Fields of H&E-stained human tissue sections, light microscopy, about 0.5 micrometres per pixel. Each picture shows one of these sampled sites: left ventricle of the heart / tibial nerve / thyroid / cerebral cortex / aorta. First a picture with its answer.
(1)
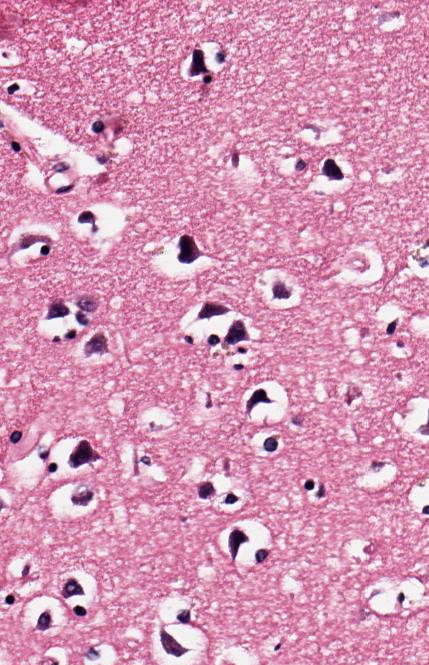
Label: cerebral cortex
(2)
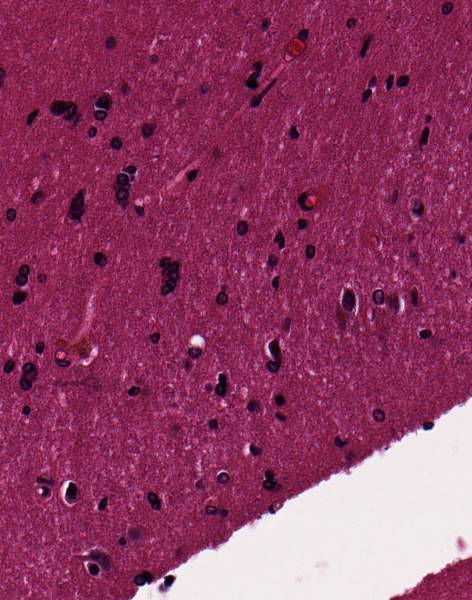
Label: cerebral cortex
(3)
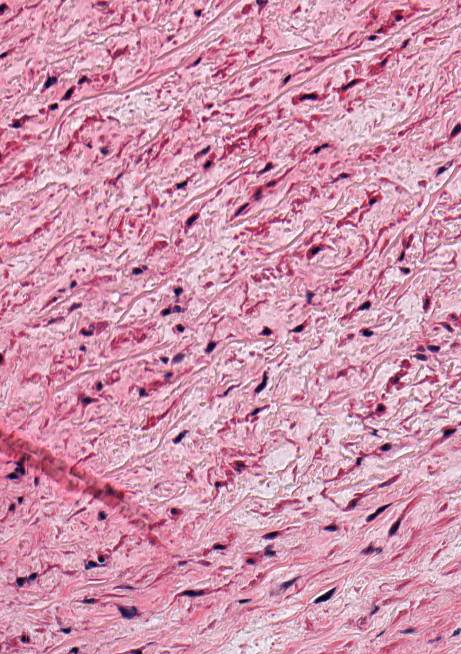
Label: aorta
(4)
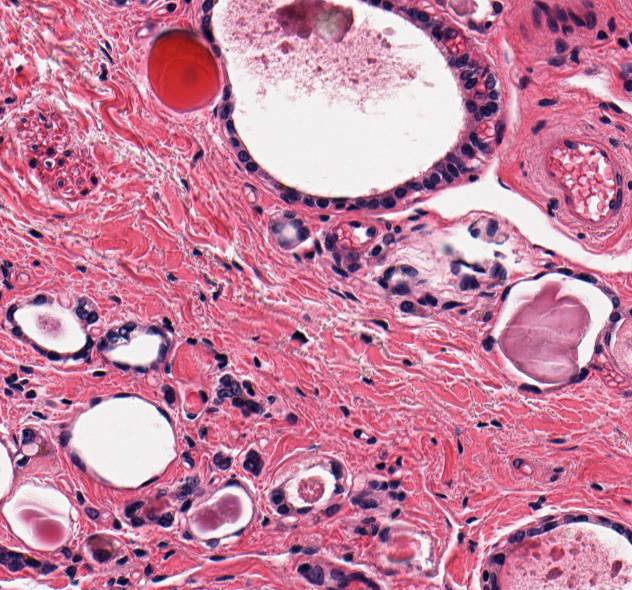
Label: thyroid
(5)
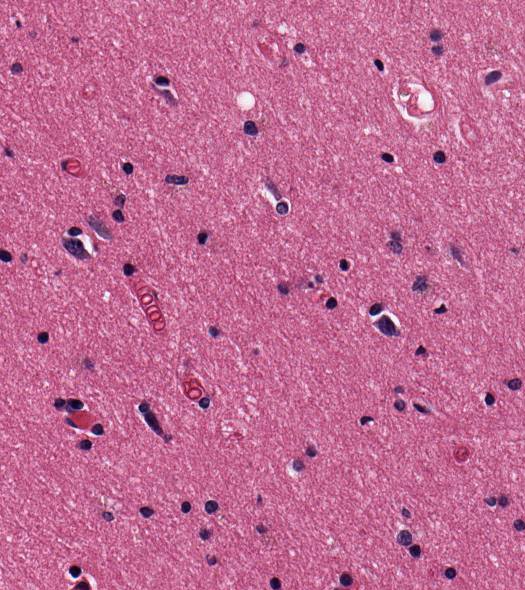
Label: cerebral cortex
